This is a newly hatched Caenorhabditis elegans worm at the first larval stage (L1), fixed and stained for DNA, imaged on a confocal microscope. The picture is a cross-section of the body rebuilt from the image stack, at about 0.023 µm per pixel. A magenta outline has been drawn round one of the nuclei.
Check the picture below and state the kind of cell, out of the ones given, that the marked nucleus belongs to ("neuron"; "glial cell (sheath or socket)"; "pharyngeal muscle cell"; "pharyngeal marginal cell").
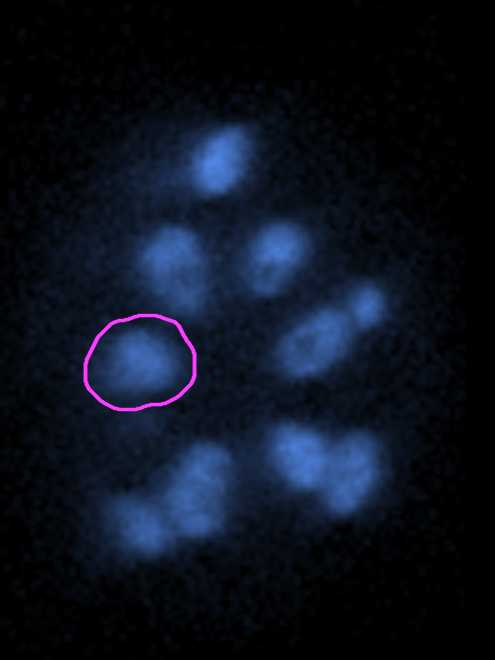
pharyngeal marginal cell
